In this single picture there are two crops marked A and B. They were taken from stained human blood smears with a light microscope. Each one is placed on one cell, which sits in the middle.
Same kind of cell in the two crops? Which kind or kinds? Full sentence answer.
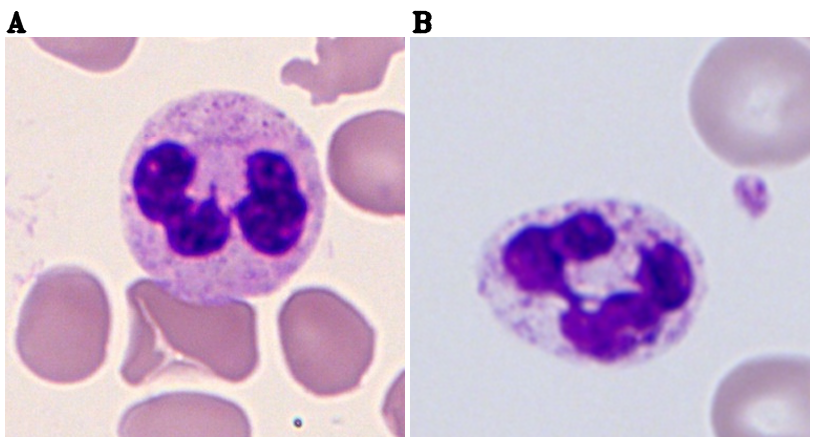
Yes, the centred cells are segmented neutrophils in both crops.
